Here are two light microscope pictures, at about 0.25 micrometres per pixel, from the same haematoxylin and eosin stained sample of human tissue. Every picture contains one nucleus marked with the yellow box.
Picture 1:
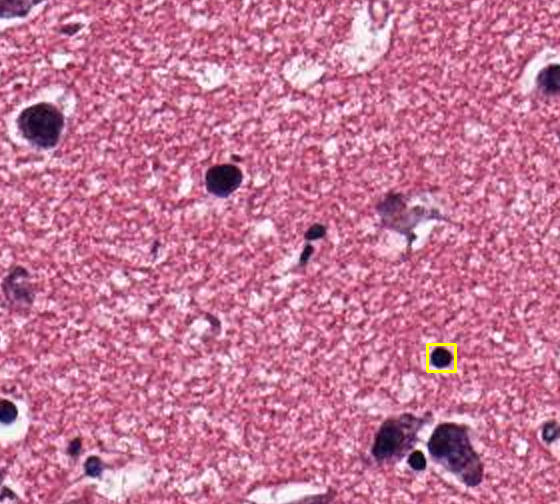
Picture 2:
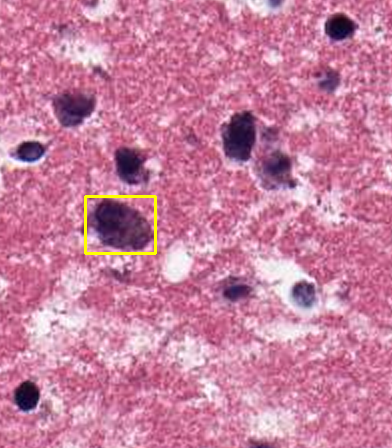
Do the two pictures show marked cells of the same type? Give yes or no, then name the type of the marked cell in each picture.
No, the first is an oligodendrocyte and the second a neuron.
